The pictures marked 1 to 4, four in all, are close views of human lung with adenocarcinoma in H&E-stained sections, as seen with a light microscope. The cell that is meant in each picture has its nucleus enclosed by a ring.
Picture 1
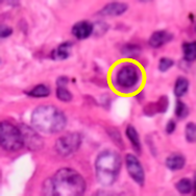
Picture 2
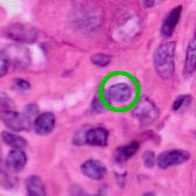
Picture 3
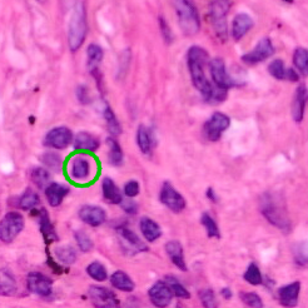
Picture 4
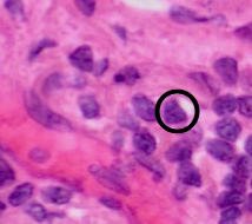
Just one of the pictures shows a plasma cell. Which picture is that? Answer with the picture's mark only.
1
